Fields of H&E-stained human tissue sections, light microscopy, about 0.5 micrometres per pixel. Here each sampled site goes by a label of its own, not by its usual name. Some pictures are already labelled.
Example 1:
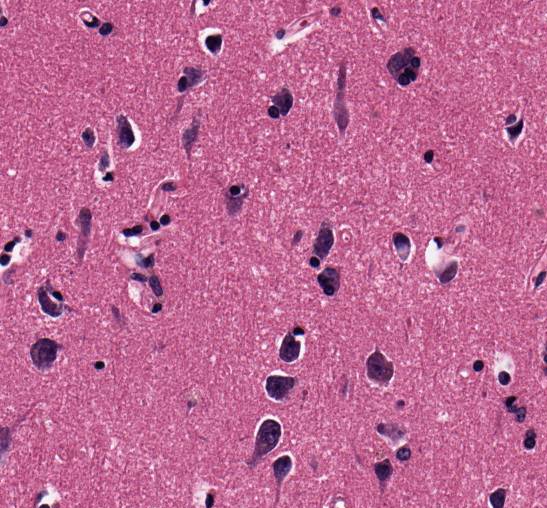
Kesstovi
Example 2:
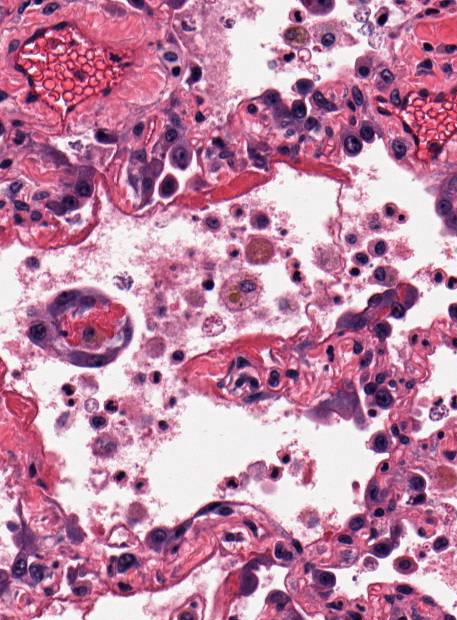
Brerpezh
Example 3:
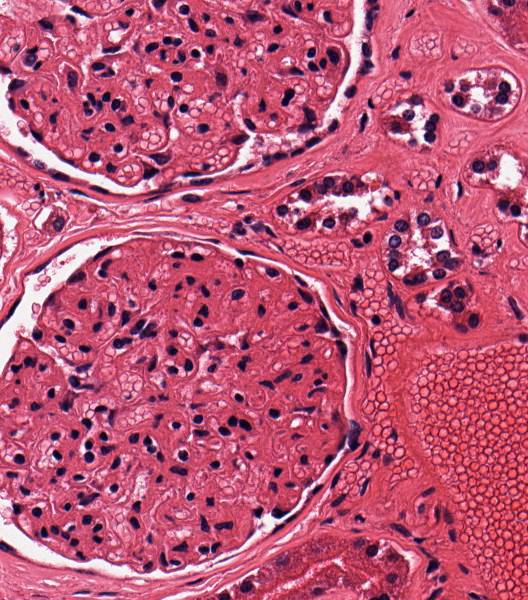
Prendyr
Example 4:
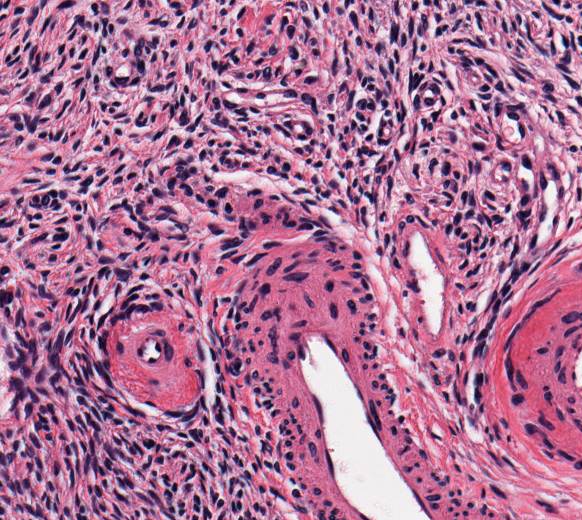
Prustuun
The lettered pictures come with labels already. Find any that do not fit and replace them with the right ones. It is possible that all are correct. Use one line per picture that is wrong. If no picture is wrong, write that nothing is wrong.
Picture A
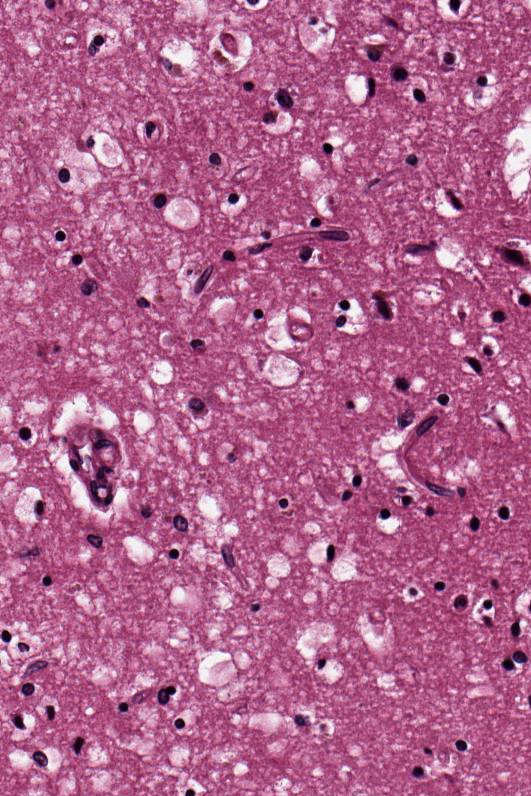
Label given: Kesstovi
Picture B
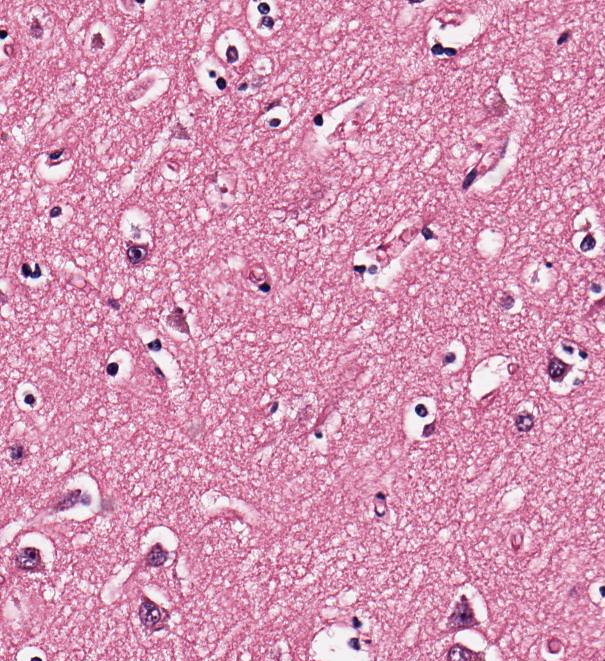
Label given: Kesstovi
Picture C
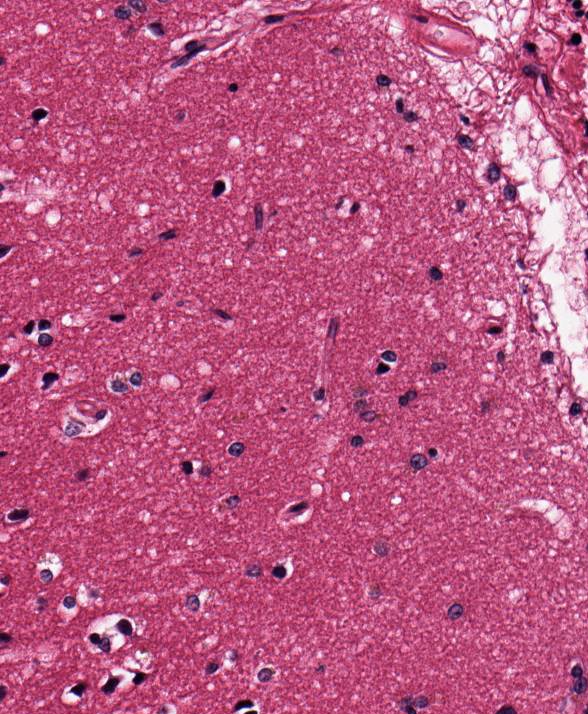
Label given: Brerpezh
Wrong: C (Brerpezh); correct: Kesstovi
